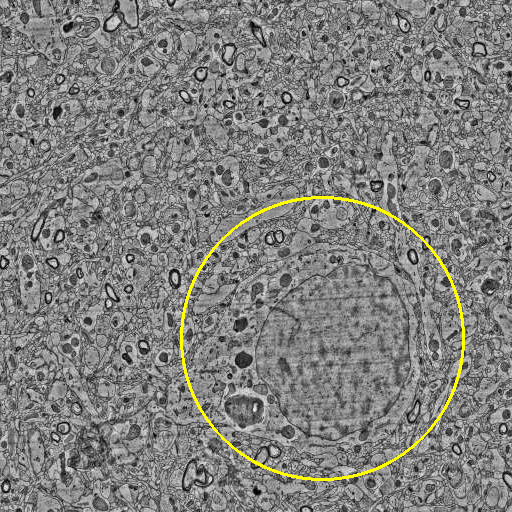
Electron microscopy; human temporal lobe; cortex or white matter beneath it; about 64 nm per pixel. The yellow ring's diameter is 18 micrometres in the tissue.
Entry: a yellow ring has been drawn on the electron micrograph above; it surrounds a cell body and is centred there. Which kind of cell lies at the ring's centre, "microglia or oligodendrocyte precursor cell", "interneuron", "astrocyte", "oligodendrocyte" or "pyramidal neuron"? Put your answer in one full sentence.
The cell sitting at the ring's centre is an interneuron in the micrograph above.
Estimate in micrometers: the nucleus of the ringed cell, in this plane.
In this plane, approximately 11 by 10 micrometers.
